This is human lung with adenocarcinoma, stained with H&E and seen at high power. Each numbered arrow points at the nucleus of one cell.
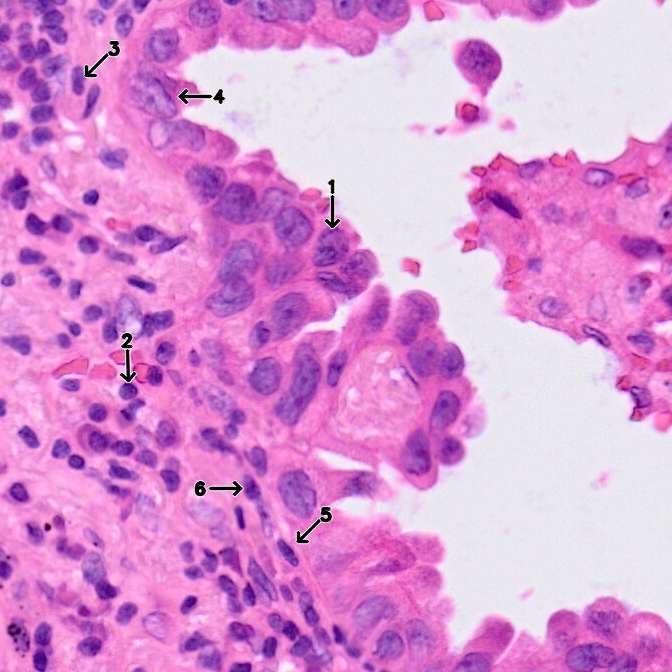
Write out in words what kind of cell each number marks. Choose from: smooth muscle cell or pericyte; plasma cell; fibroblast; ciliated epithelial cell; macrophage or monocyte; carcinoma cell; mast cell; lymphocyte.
Cell 1 is a carcinoma cell, cell 2 is a lymphocyte, cell 3 is a lymphocyte, cell 4 is a carcinoma cell, cell 5 is a lymphocyte and cell 6 is a lymphocyte.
